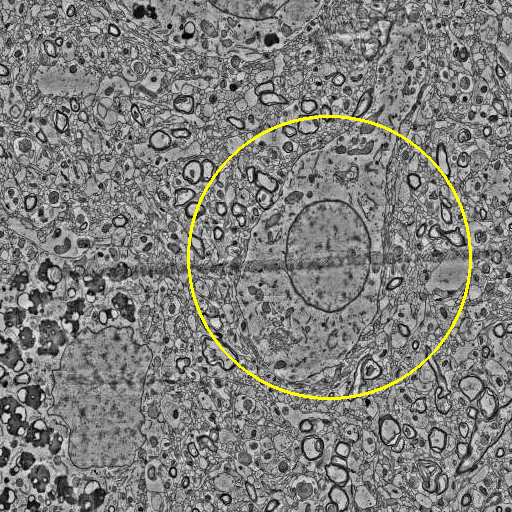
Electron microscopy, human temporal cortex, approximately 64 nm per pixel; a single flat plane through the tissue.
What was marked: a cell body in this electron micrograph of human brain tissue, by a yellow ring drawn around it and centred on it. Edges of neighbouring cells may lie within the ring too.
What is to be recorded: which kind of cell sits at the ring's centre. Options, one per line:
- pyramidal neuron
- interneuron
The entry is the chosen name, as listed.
pyramidal neuron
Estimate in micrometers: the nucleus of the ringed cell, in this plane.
In this plane, about 7 micrometres in length and 6 in width.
